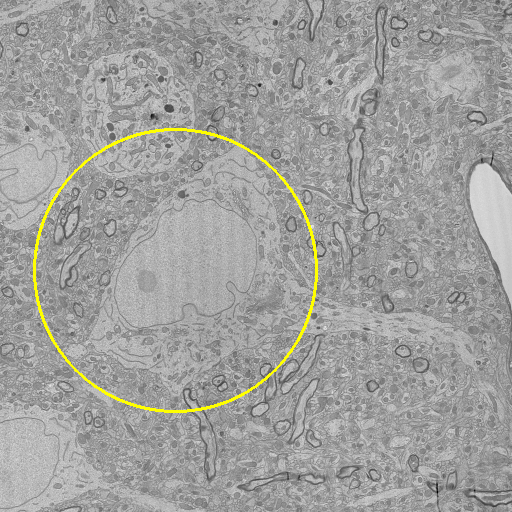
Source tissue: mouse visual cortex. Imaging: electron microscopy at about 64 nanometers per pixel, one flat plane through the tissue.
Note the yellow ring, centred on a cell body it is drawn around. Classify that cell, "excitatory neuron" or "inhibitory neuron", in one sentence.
The cell the ring is centred on is an excitatory neuron.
